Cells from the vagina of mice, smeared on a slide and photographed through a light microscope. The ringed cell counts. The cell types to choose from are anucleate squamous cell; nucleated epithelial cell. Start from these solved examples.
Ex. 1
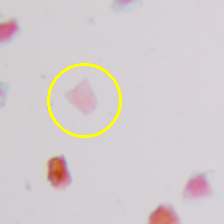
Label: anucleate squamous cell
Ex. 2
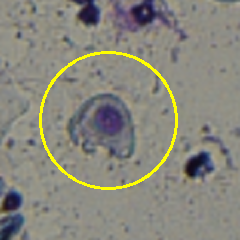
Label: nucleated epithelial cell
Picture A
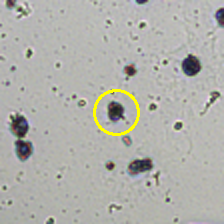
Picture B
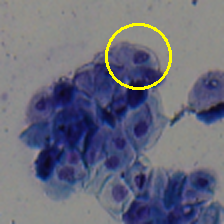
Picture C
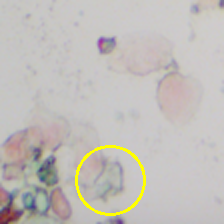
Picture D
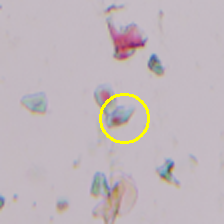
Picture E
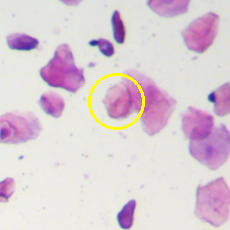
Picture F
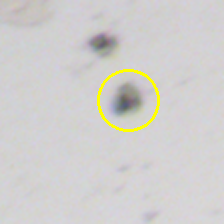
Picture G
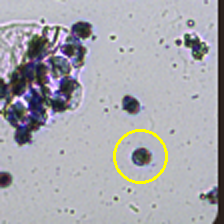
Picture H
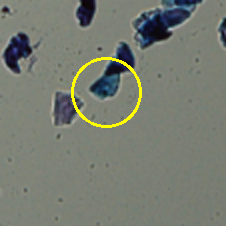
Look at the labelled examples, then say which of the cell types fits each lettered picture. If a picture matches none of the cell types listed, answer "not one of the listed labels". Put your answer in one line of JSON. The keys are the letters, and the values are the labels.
{"A": "not one of the listed labels", "B": "nucleated epithelial cell", "C": "anucleate squamous cell", "D": "nucleated epithelial cell", "E": "anucleate squamous cell", "F": "not one of the listed labels", "G": "not one of the listed labels", "H": "anucleate squamous cell"}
